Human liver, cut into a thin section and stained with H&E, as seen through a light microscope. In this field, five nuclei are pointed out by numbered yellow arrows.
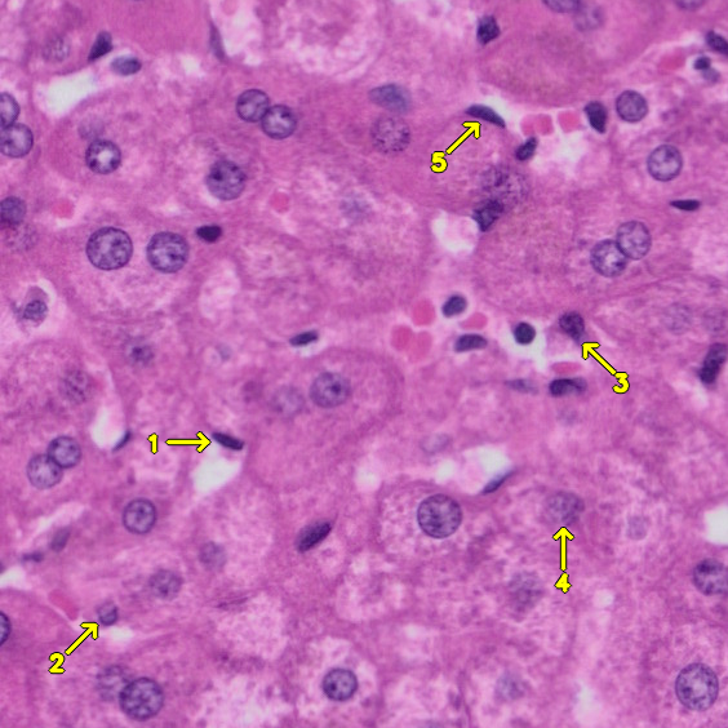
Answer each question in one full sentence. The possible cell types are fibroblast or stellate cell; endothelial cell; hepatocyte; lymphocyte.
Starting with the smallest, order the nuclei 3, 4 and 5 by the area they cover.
Smallest first, the nuclei run 5, 3, 4.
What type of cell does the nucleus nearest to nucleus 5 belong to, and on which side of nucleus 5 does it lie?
It is a lymphocyte, whose nucleus lies below and to the right of nucleus 5.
